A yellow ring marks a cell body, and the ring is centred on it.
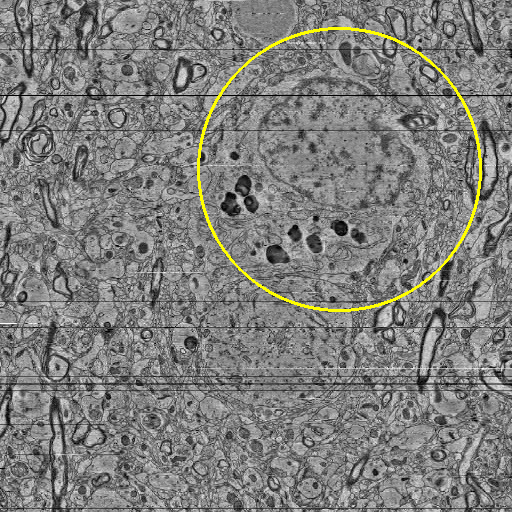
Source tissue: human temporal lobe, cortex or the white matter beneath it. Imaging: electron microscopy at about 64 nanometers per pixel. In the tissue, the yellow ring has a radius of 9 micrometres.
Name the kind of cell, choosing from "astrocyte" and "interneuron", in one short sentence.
The marked cell body belongs to an interneuron.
